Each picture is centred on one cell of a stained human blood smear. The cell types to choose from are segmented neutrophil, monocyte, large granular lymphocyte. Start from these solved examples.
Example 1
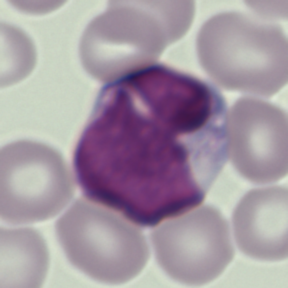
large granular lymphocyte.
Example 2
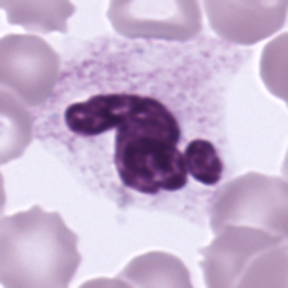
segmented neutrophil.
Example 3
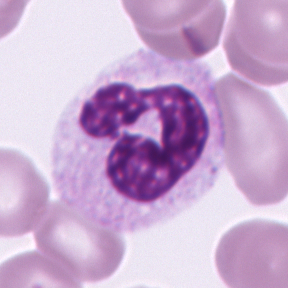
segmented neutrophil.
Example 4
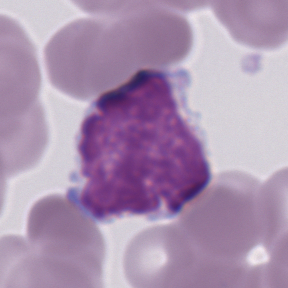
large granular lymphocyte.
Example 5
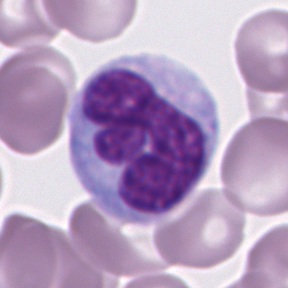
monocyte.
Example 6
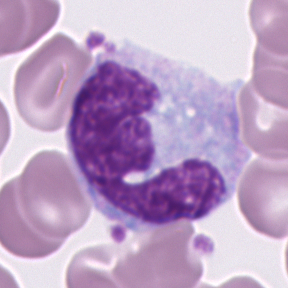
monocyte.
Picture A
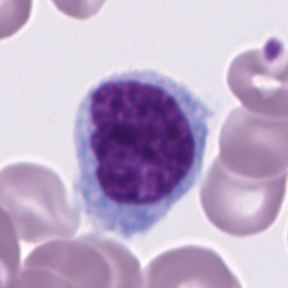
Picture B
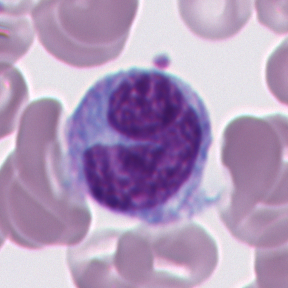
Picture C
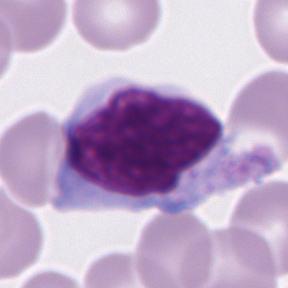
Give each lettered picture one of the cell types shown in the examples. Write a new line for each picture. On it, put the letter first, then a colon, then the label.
A: monocyte.
B: monocyte.
C: large granular lymphocyte.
